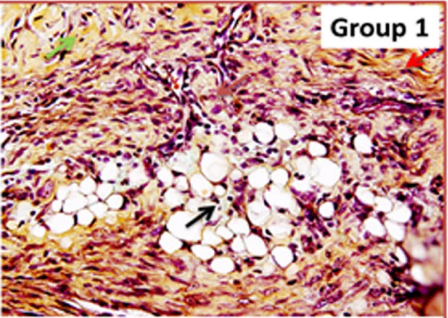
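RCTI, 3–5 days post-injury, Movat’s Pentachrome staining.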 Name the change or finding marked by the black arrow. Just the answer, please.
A: fatty infiltration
